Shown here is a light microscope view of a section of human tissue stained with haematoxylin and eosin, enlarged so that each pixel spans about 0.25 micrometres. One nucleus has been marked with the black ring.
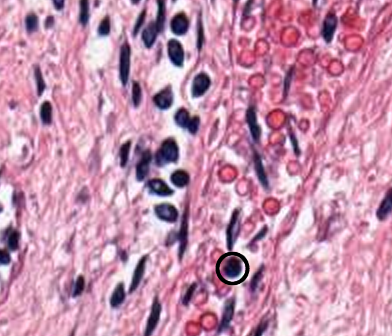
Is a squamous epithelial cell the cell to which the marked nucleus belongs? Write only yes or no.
no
